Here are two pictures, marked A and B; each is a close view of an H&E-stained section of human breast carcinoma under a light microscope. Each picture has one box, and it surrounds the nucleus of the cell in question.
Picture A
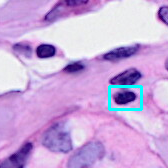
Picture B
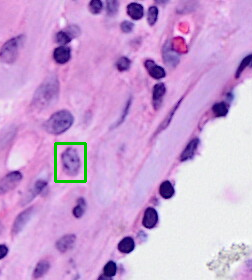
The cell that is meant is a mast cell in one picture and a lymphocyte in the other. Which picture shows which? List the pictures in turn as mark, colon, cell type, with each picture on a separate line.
A: lymphocyte
B: mast cell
